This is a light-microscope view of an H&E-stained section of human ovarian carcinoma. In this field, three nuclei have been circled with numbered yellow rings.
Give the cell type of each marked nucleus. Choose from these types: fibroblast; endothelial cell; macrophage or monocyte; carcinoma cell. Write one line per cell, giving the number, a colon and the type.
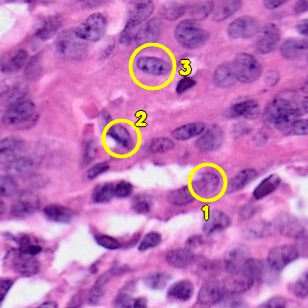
1: carcinoma cell
2: endothelial cell
3: macrophage or monocyte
